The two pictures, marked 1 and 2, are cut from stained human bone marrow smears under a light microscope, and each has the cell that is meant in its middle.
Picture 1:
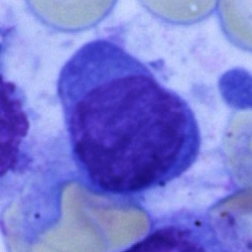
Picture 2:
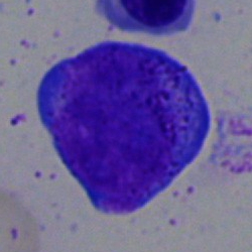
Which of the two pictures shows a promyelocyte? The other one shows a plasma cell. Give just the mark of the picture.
2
